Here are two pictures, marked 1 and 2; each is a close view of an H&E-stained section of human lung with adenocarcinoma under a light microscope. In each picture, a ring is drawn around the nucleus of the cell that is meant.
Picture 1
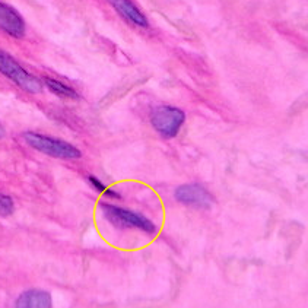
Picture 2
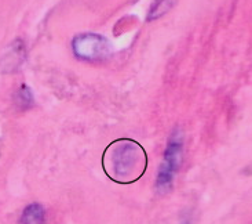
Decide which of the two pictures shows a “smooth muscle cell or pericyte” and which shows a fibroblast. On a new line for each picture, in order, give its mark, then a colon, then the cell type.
1: smooth muscle cell or pericyte
2: fibroblast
